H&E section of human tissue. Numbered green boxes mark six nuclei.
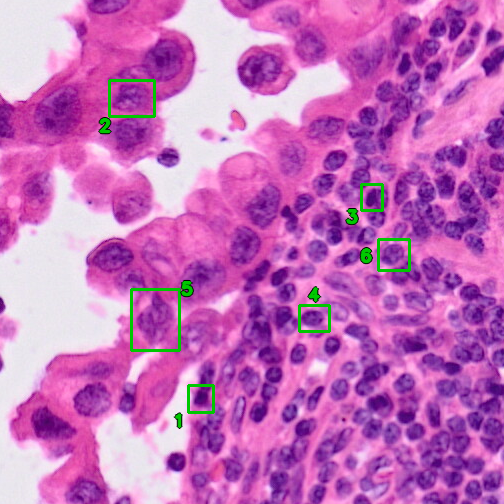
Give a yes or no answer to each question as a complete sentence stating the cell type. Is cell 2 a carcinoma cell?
Yes, the cell bearing the number 2 is a carcinoma cell.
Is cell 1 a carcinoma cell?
No, the identification of cell 1 as a carcinoma cell is incorrect; it is a lymphocyte.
